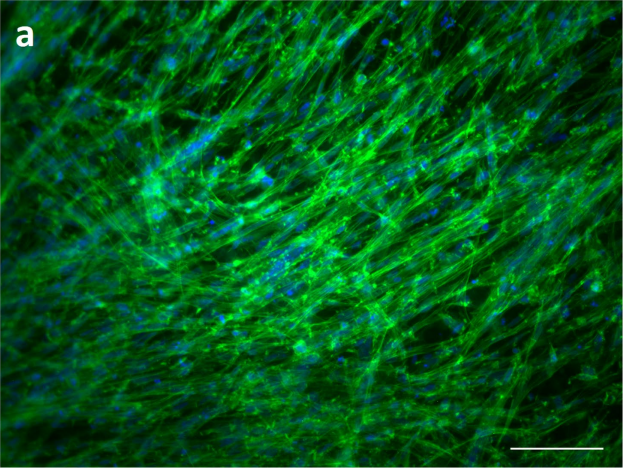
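Green filaments fill the cell bodies and run as long thin strands, mostly oriented from lower left to upper right, with some crossing at other angles. The strands overlap into a meshwork, brighter in clustered areas near the centre. Small oval blue nuclei are numerous and spread throughout the field, lying among the green strands. Cells are spindle-shaped with slender processes; no clear boundaries between individual cells can be drawn in the densest regions.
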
